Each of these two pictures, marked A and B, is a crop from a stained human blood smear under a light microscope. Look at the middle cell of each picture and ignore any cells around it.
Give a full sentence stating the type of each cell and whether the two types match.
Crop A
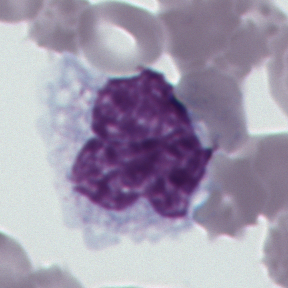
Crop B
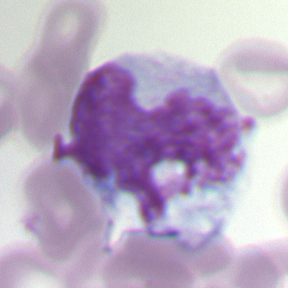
Yes, both crops here show monocytes, the pair of them.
